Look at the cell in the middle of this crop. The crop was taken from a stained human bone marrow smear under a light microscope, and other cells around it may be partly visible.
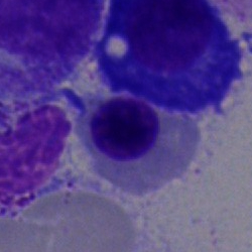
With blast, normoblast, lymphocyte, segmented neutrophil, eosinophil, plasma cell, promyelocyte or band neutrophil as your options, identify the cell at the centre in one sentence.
Here the centrally located cell is a normoblast.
